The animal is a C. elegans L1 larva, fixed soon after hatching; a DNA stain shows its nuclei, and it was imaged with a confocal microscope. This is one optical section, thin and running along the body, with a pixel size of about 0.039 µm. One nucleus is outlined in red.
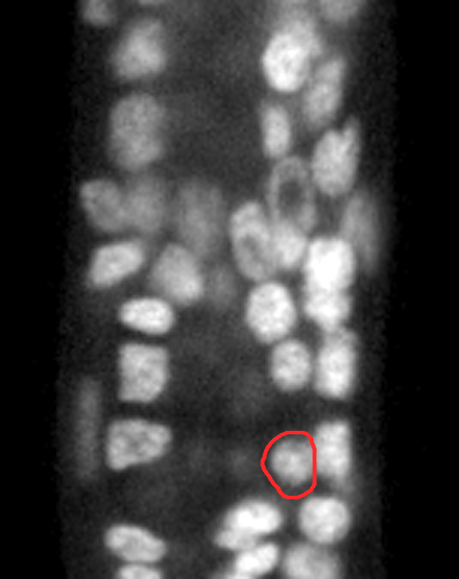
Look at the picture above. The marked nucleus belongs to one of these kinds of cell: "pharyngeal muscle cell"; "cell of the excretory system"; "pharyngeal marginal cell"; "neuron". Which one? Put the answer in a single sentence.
The cell with the marked nucleus is a pharyngeal marginal cell.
